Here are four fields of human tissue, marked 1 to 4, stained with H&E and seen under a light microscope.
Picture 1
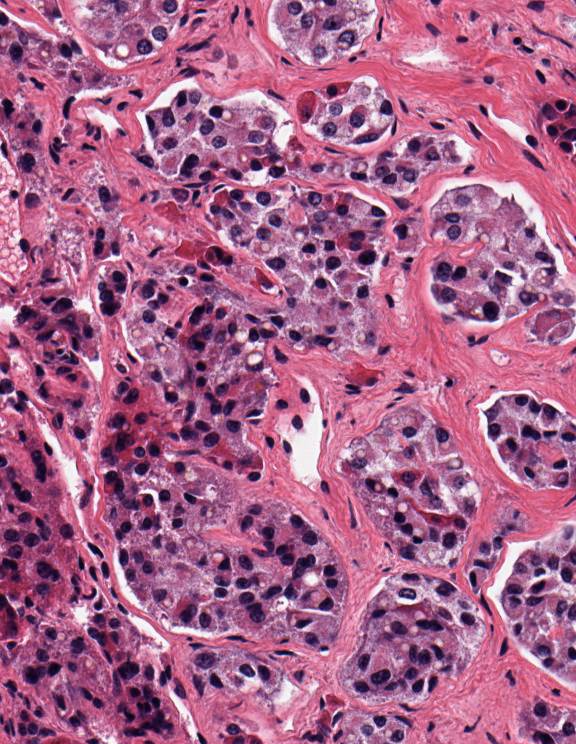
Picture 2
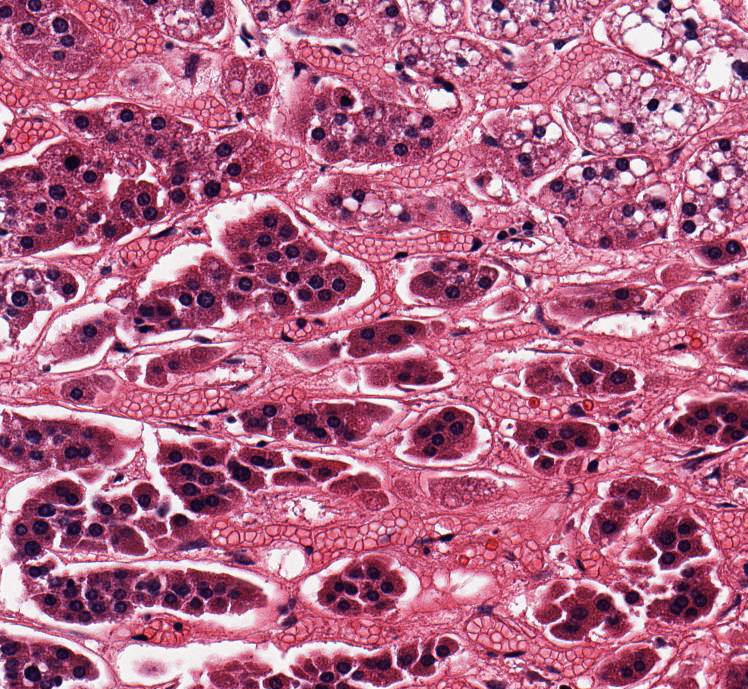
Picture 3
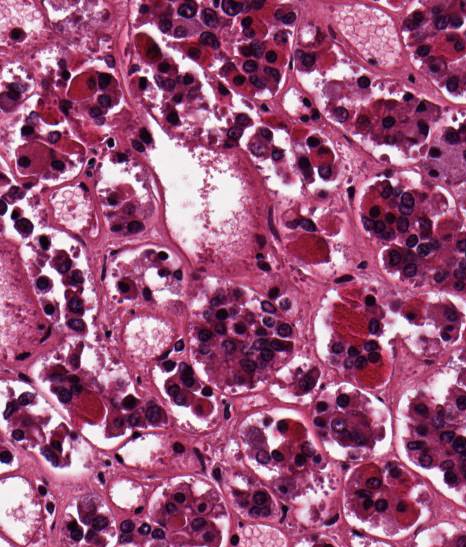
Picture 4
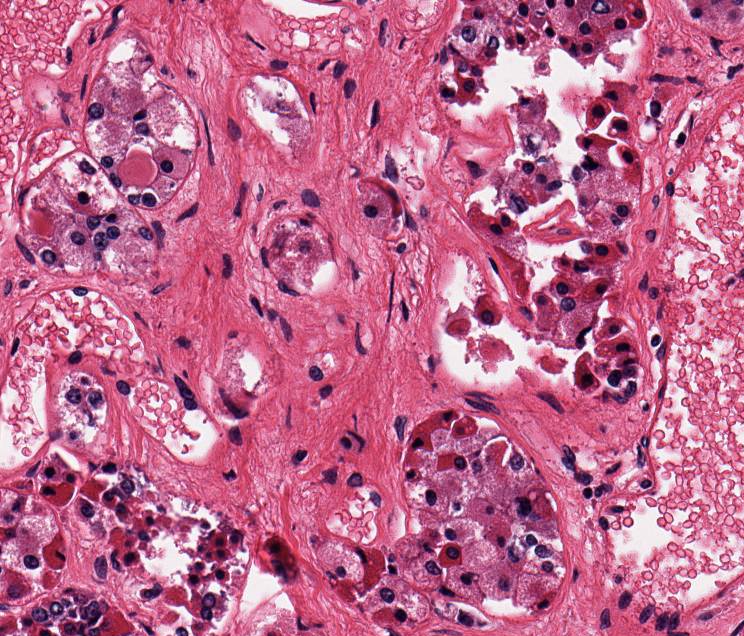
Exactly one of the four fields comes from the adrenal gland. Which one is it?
2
